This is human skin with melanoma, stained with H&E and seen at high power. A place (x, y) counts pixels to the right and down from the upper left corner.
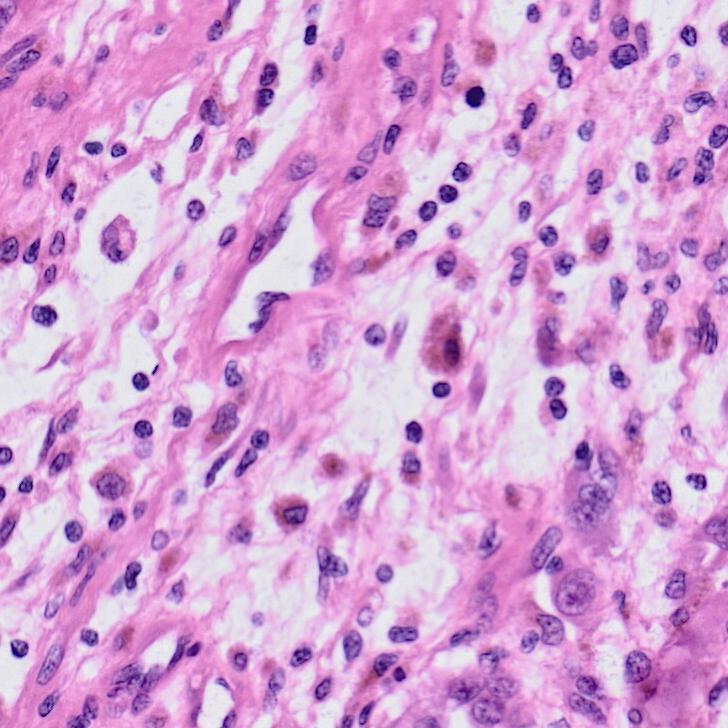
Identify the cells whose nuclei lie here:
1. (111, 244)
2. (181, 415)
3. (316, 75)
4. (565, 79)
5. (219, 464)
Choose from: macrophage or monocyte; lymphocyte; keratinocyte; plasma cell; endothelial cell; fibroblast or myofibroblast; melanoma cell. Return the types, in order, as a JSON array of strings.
["macrophage or monocyte", "lymphocyte", "macrophage or monocyte", "lymphocyte", "fibroblast or myofibroblast"]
